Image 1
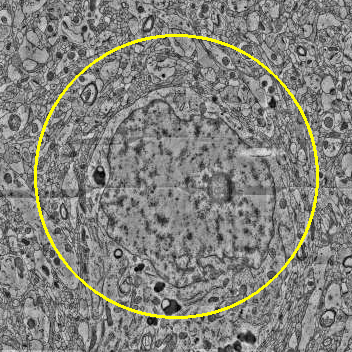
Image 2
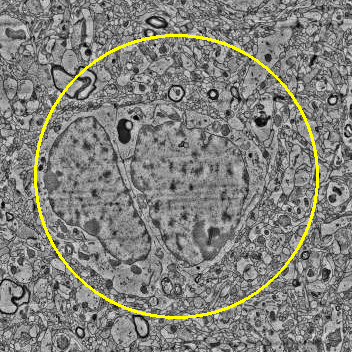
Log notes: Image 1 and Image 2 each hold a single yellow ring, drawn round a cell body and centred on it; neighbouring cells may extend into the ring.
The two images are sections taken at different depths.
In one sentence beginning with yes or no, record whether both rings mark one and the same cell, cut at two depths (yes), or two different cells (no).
No, the two marked cells are different cells.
